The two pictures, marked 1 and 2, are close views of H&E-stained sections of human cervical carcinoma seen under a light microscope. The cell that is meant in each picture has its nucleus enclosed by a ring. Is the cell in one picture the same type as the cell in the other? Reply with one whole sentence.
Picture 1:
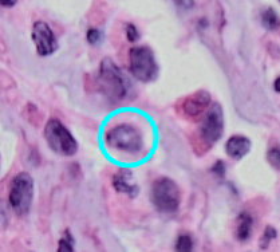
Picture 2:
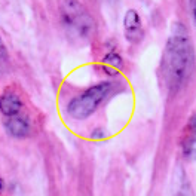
Yes, both are “macrophages or monocytes”.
